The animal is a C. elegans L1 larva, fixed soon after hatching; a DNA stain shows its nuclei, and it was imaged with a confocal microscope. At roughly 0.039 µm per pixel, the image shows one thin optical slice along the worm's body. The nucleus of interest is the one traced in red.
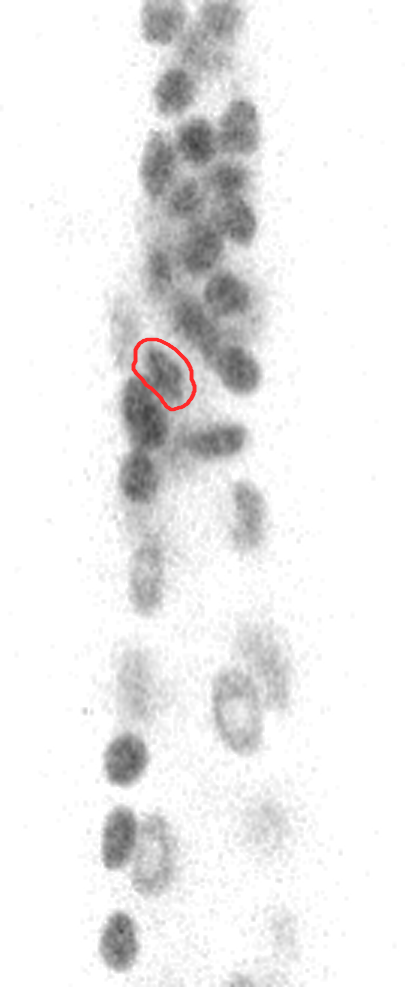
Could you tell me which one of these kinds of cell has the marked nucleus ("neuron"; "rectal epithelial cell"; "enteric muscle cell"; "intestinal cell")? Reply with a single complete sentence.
What is marked is the nucleus of a rectal epithelial cell.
